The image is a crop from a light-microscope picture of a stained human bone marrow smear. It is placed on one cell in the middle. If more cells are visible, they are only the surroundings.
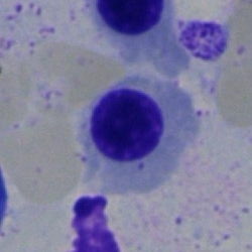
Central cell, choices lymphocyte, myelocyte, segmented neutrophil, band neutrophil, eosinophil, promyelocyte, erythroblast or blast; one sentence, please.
At the center of the crop sits an erythroblast.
